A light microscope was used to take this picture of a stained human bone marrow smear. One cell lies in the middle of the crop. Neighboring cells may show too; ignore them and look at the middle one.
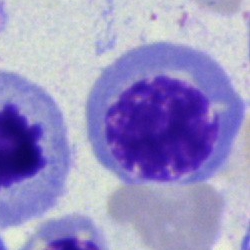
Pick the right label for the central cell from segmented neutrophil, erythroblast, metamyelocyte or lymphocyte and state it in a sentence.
Classification of the middle cell gives an erythroblast.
